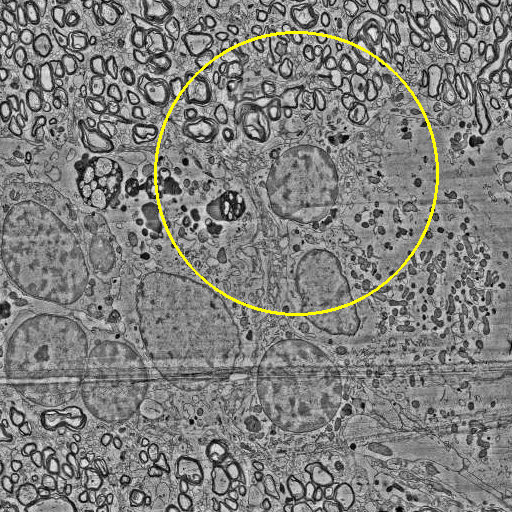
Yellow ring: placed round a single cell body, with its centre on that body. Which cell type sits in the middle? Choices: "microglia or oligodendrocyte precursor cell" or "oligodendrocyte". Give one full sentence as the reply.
It is a microglial cell or oligodendrocyte precursor cell whose cell body sits at the centre of the yellow ring.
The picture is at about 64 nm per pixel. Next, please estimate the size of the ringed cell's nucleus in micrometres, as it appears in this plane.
The nucleus measures about 5 micrometers across in this plane.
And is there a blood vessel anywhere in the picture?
Yes, there is a blood vessel.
